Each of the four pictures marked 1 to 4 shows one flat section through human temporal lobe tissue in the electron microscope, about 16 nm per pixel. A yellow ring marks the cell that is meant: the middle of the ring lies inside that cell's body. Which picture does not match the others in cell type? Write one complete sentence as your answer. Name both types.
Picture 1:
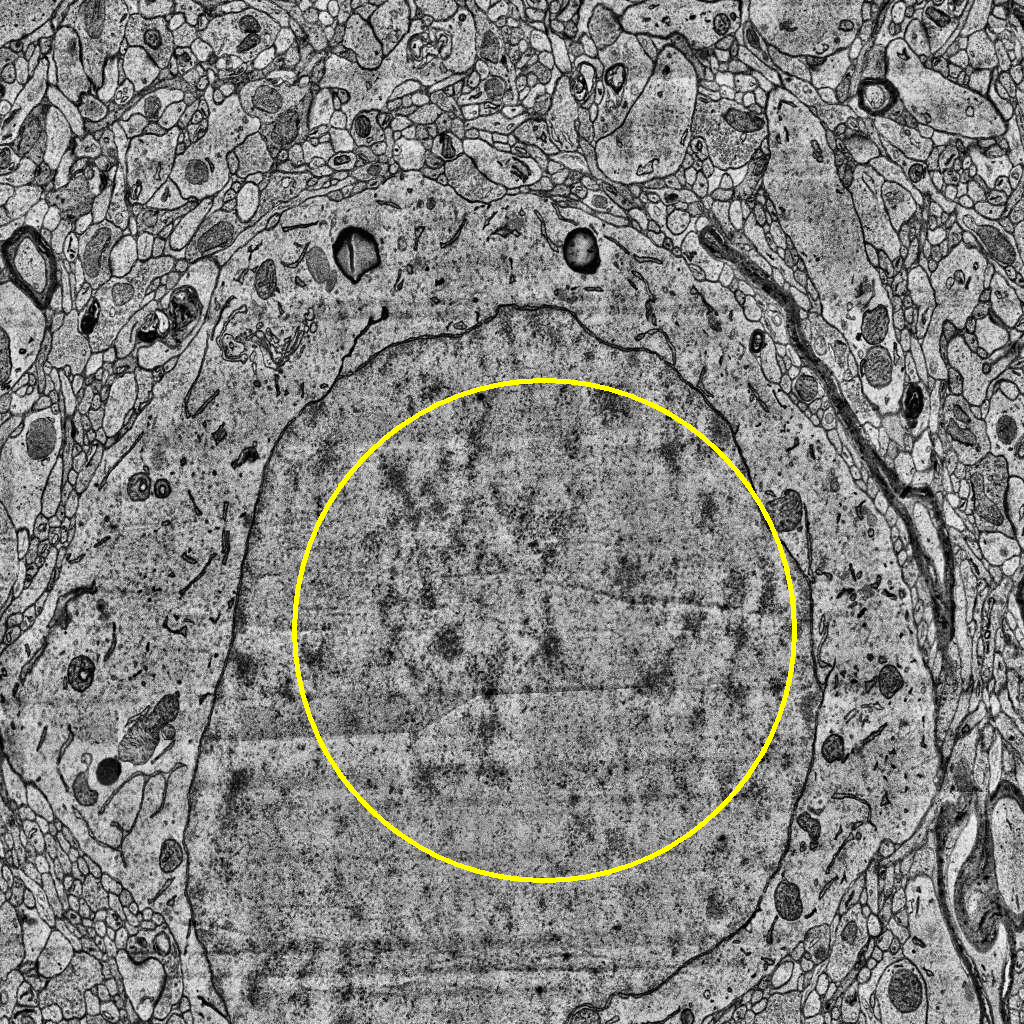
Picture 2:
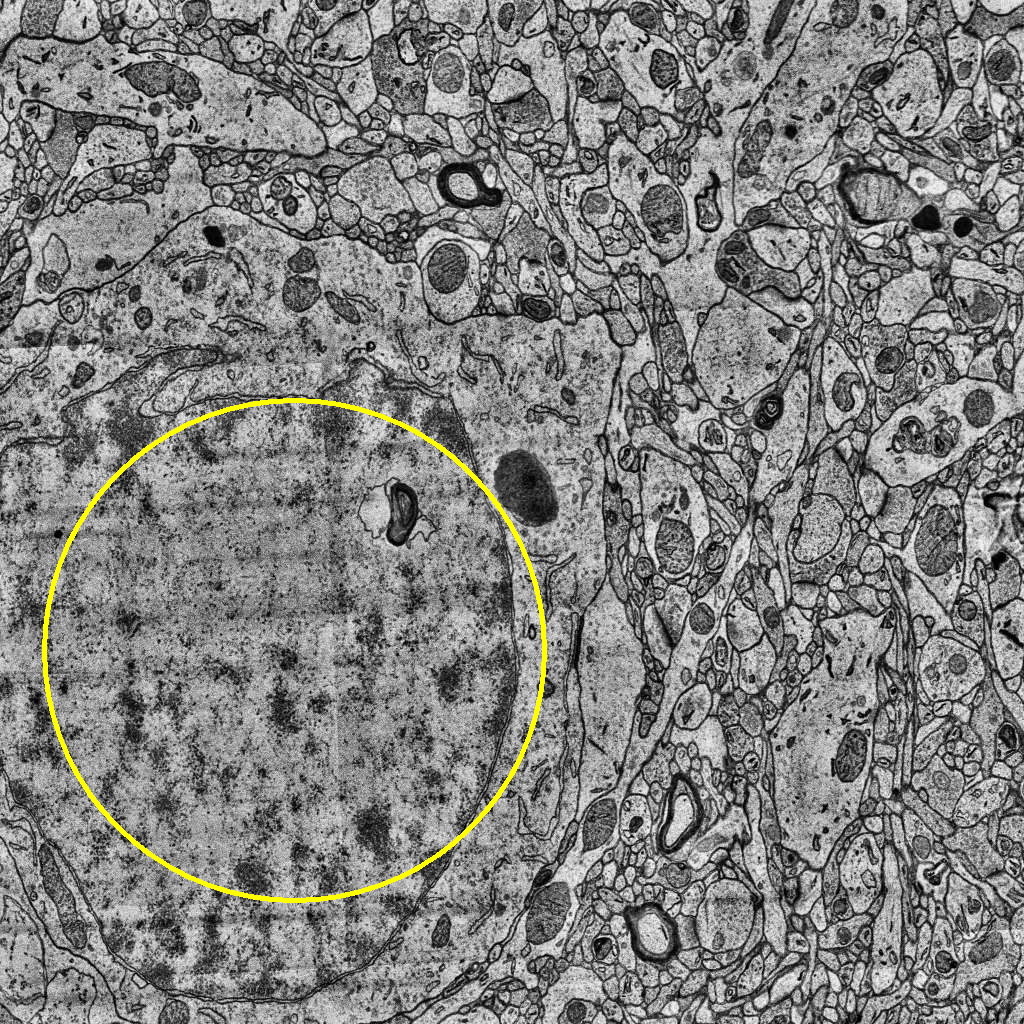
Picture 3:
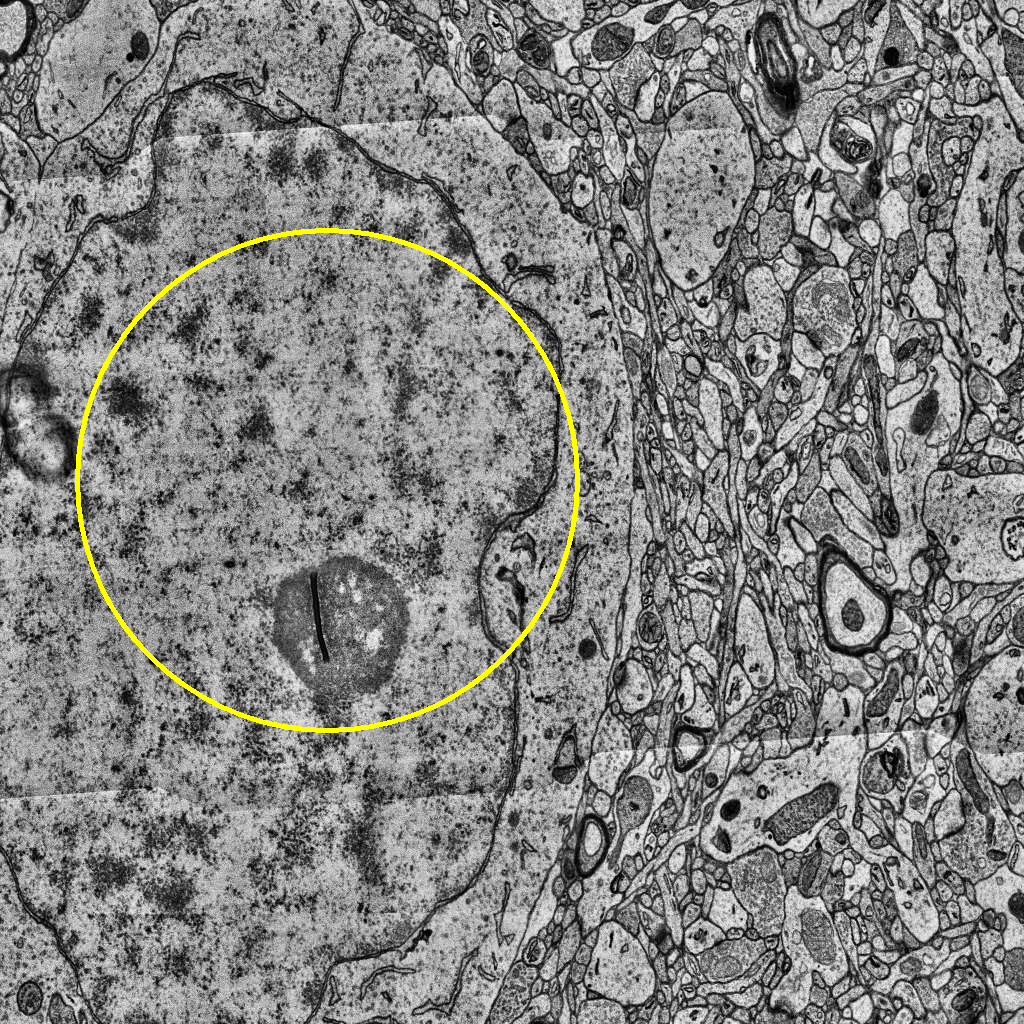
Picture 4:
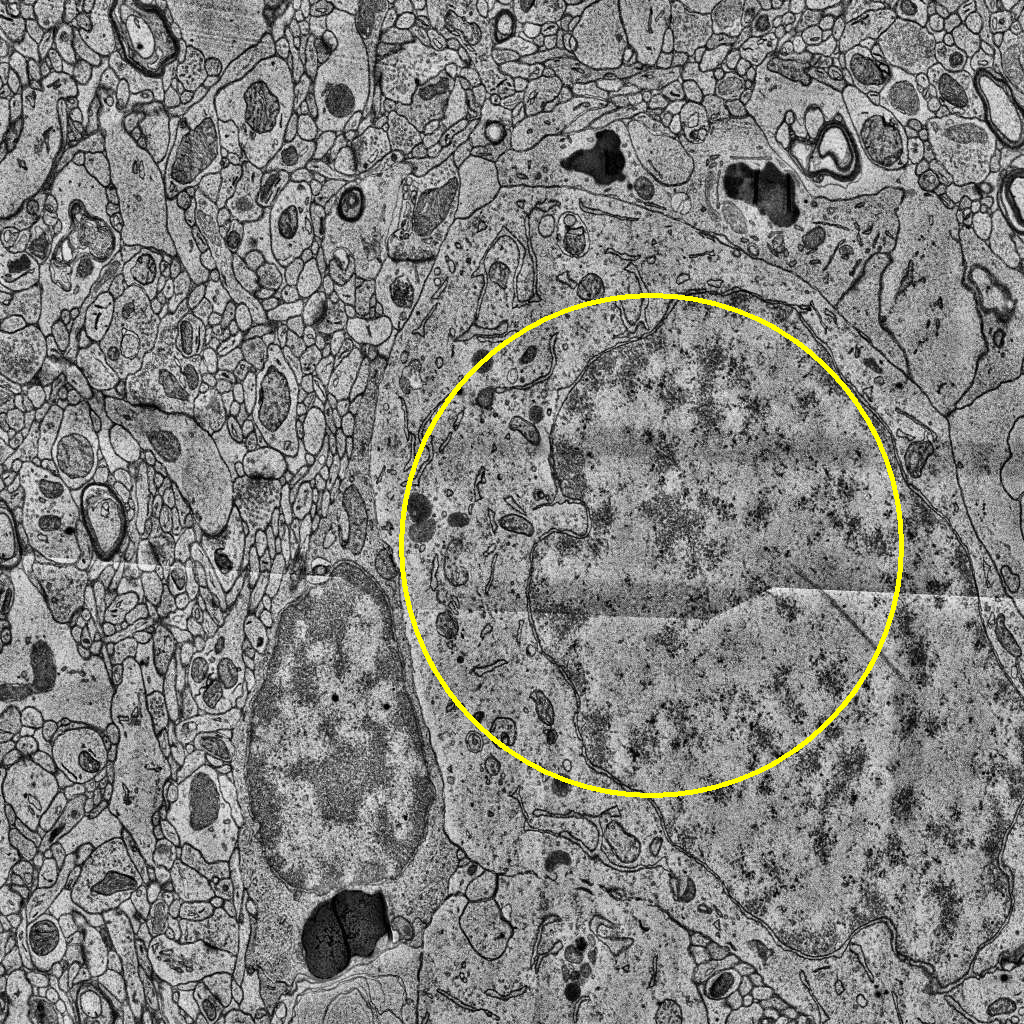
All pictures except 1 show interneurons; picture 1 shows a pyramidal neuron.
